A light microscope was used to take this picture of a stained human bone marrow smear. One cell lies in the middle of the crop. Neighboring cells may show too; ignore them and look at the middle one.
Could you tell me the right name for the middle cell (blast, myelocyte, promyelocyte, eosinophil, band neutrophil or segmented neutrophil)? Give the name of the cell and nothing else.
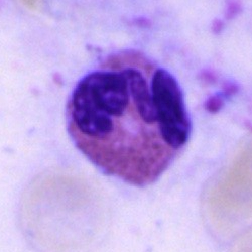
eosinophil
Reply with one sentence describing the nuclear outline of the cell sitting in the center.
The nuclear outline breaks up into two or more lobes.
